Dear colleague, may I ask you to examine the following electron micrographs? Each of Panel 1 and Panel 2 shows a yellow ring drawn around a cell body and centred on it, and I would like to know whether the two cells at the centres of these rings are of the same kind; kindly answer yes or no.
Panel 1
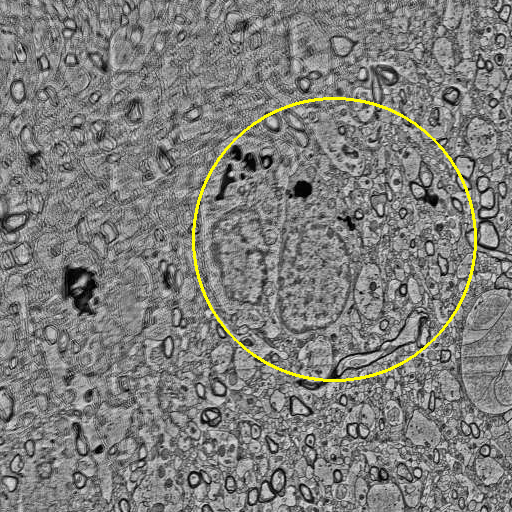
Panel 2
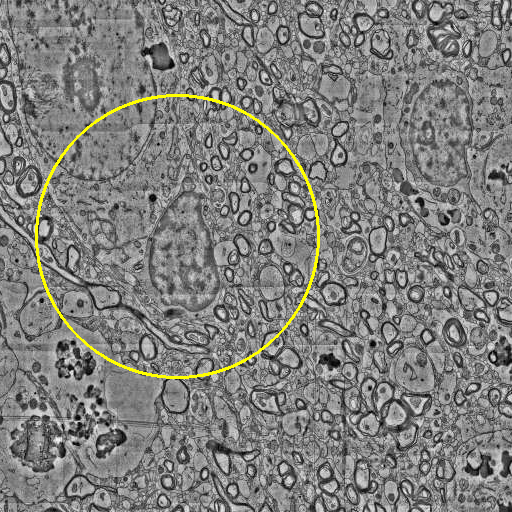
yes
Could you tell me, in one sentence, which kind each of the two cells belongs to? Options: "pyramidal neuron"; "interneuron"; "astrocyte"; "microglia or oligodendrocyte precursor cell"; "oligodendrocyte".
In the first picture and in the second, the ring is centred on an oligodendrocyte.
